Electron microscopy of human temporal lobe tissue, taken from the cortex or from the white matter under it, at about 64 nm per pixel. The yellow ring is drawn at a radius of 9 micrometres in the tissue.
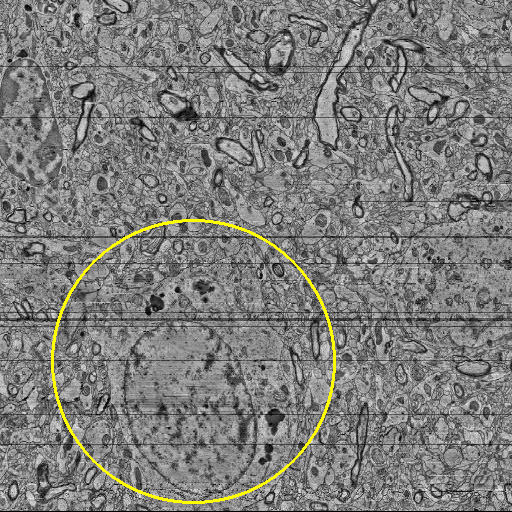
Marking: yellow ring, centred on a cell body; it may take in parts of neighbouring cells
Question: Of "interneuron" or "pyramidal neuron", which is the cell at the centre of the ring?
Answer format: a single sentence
The ring surrounds the body of an interneuron.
